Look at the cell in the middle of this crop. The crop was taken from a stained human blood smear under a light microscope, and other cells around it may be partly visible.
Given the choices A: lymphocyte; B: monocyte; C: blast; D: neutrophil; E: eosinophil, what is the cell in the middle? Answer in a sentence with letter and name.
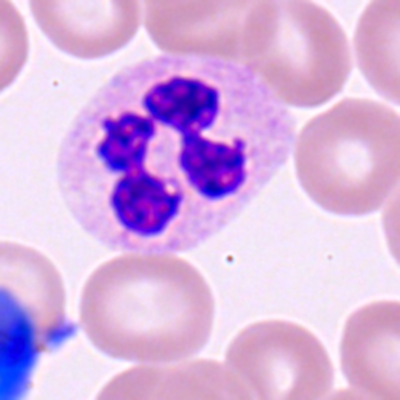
The central cell in this crop is a neutrophil, so the correct choice is option D.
